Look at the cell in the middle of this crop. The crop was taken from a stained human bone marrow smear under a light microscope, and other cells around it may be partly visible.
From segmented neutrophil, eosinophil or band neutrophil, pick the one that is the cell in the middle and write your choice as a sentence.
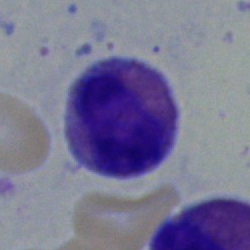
In short, the cell at the center is an eosinophil.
